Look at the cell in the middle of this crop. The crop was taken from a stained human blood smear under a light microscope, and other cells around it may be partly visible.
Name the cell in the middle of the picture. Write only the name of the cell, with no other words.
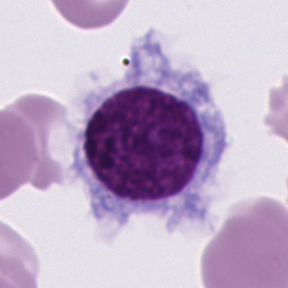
hairy cell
